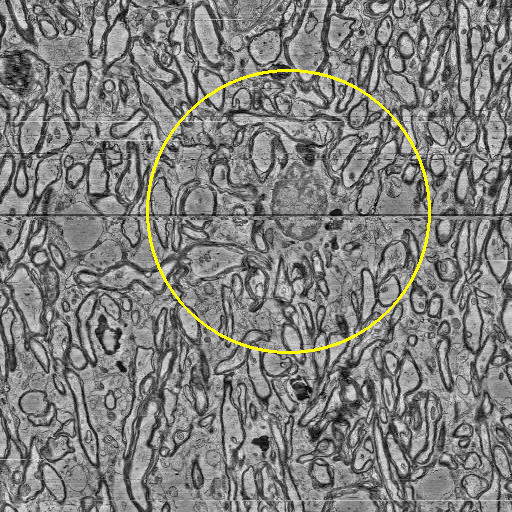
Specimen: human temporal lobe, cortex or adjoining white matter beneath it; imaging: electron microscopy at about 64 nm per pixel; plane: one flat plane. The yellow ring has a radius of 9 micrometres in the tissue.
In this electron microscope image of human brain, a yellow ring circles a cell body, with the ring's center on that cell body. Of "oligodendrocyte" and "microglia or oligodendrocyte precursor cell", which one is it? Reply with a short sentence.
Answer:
It is an oligodendrocyte at the center of the ring.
